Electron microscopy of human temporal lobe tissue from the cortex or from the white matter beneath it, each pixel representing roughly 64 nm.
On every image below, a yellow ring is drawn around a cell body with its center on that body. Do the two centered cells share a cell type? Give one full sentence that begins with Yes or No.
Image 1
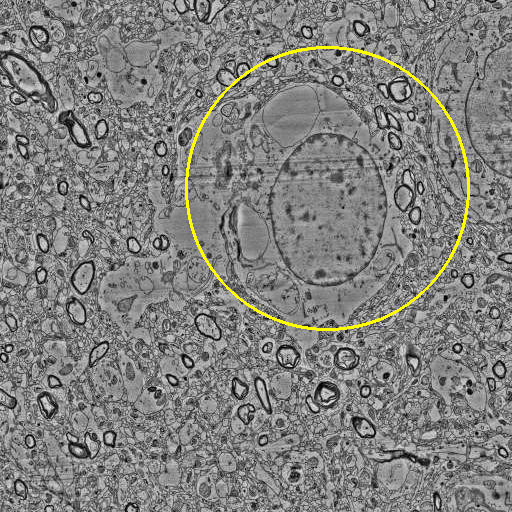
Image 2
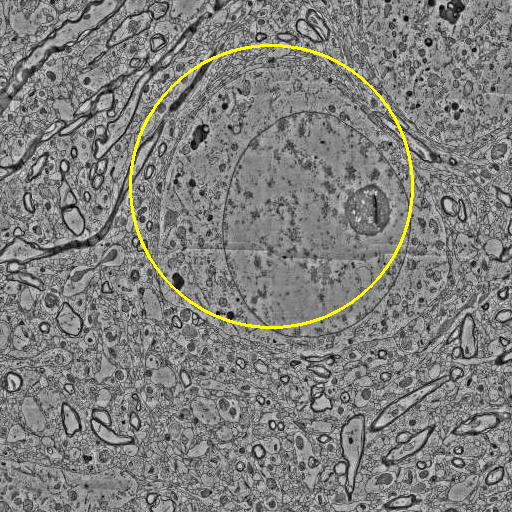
No, the centered cells in the two images are of two separate cell types.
